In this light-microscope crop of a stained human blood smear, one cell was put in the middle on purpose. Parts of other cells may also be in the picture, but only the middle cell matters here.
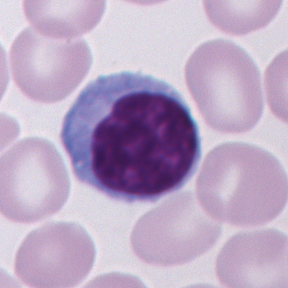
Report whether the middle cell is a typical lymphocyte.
yes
